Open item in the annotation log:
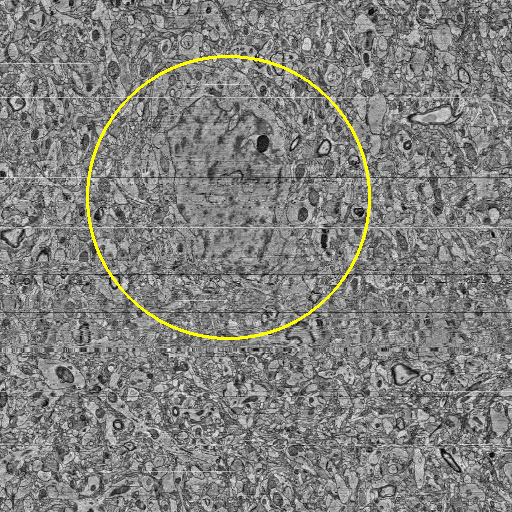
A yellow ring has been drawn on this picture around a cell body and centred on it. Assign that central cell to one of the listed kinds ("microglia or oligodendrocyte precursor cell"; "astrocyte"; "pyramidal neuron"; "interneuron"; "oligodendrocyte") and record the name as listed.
interneuron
